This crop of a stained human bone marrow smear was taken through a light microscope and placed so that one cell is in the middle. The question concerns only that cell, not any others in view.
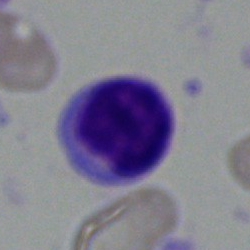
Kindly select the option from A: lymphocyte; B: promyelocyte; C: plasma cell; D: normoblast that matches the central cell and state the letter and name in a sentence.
Option A is the right one, for the cell in the middle is a lymphocyte.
